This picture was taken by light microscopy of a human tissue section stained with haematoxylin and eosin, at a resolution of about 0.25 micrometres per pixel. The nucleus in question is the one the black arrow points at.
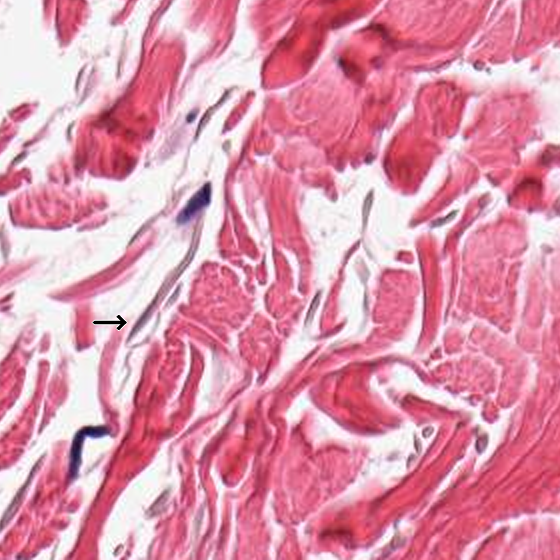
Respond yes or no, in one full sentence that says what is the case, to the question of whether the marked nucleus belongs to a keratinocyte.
No, the marked nucleus is that of a supporting cell instead of a keratinocyte.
